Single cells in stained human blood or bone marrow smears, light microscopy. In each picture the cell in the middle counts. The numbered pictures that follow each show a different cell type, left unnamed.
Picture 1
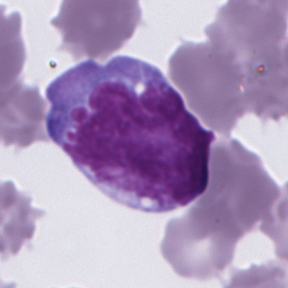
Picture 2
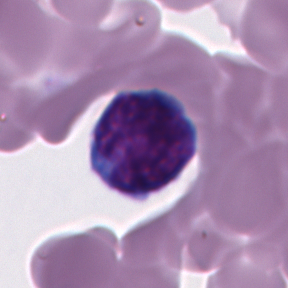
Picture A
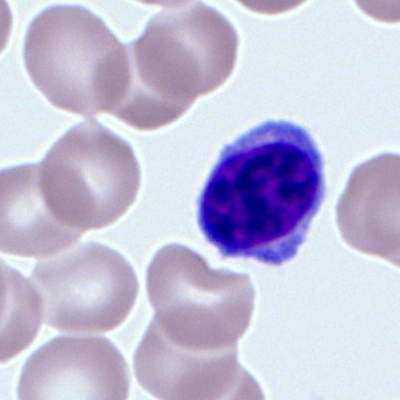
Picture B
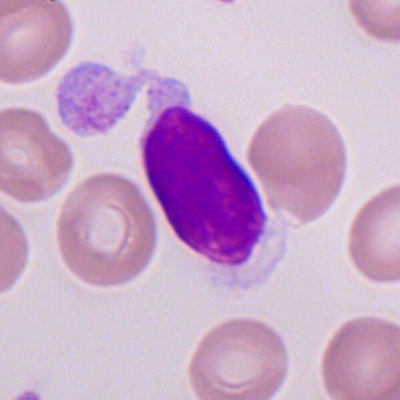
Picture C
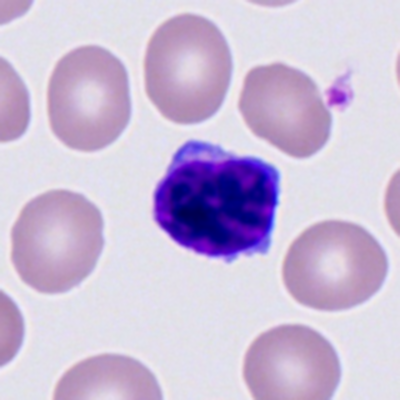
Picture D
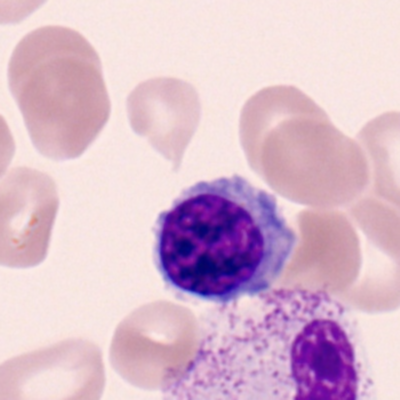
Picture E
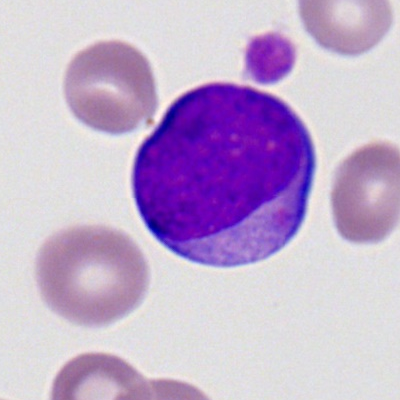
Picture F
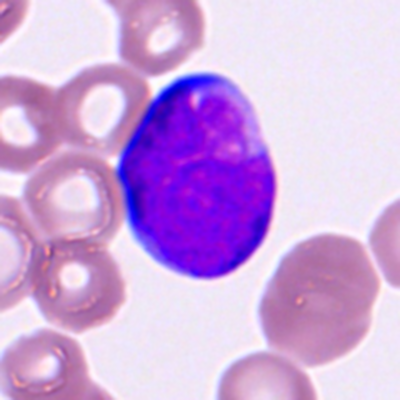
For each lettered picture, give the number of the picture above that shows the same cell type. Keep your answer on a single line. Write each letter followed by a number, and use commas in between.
A 2, B 2, C 2, D 2, E 1, F 1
